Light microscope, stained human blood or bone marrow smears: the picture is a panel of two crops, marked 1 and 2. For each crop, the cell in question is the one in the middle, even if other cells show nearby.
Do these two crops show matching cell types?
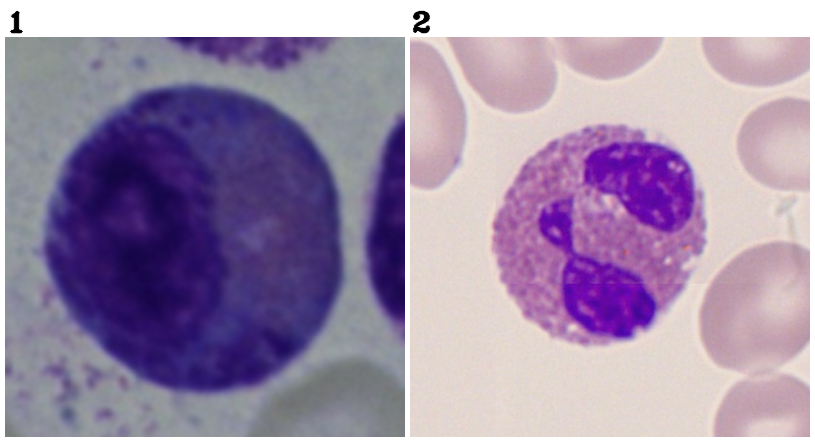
yes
